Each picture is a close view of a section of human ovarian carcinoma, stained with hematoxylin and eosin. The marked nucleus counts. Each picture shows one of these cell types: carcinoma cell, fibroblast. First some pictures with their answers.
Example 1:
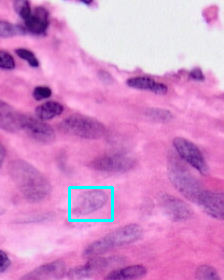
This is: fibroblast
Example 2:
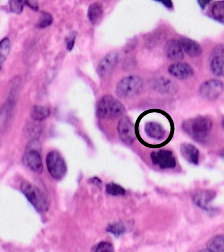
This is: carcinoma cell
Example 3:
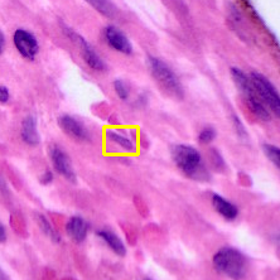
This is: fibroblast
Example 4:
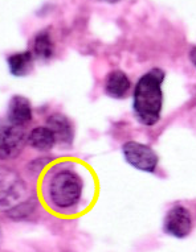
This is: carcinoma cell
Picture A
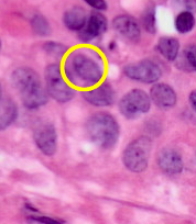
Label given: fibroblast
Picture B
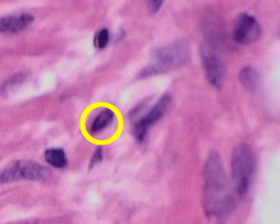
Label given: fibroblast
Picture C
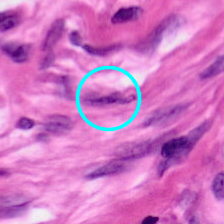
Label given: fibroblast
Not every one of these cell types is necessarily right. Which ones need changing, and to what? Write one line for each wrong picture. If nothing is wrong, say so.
A is labelled fibroblast; correct label: carcinoma cell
